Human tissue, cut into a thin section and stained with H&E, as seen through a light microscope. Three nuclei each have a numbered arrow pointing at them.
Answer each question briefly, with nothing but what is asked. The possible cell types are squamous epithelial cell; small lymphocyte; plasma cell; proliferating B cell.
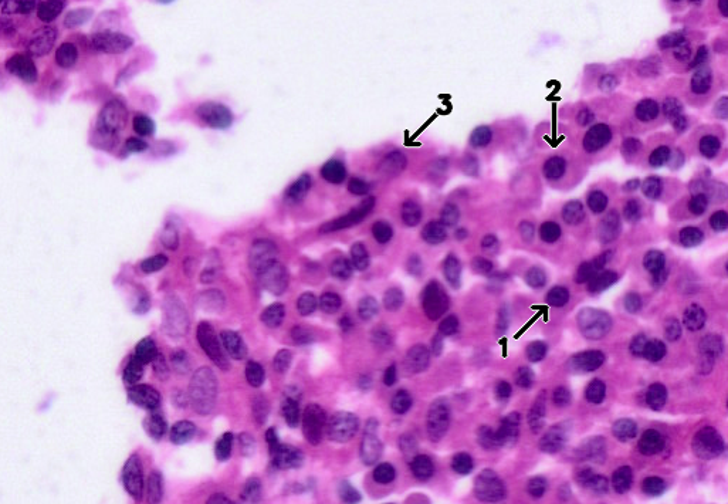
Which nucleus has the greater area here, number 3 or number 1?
3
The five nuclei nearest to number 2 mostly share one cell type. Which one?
plasma cell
